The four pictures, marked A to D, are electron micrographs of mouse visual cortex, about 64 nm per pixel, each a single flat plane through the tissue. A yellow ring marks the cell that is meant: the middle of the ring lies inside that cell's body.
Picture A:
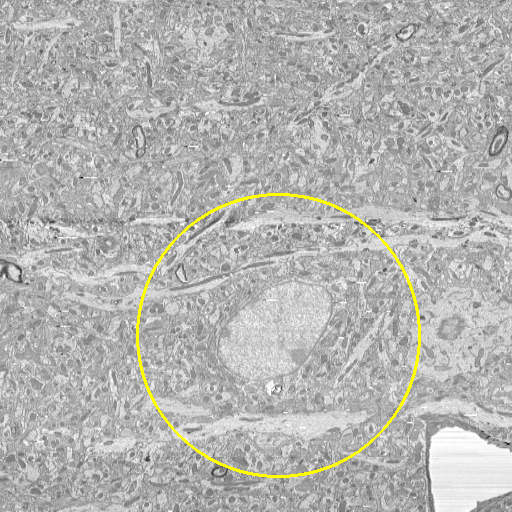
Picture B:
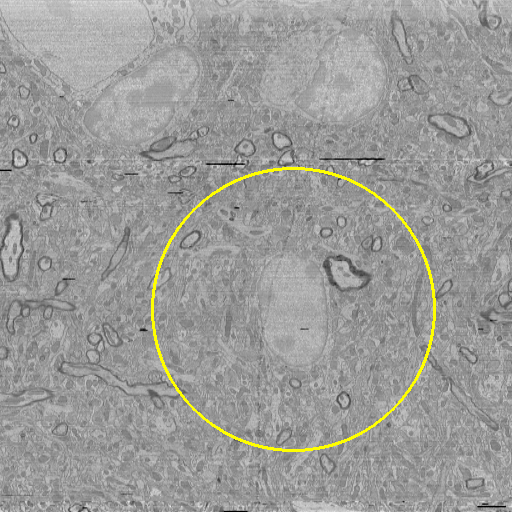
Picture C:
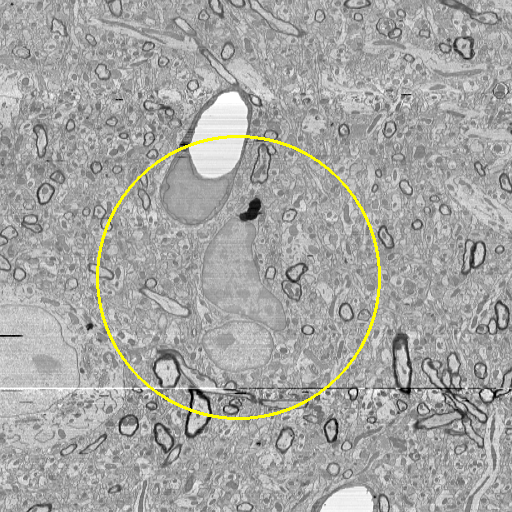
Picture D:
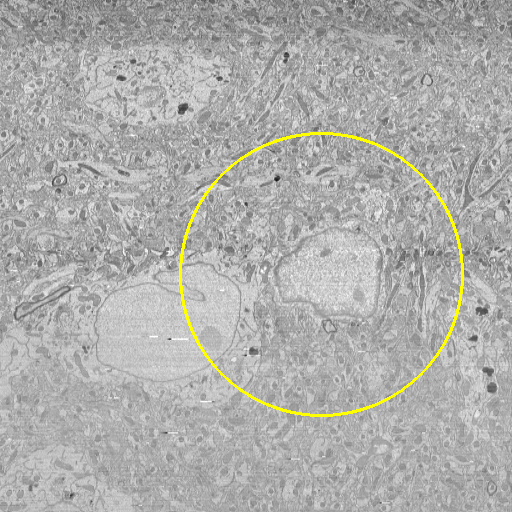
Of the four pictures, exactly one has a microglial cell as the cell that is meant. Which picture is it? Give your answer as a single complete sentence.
Picture C shows the microglial cell.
